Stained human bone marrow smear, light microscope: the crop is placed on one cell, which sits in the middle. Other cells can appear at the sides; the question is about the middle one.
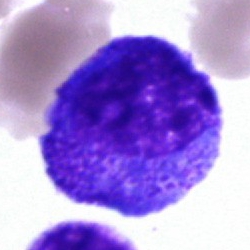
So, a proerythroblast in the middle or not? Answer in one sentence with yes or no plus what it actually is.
No, instead of a proerythroblast, the middle cell is a promyelocyte.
